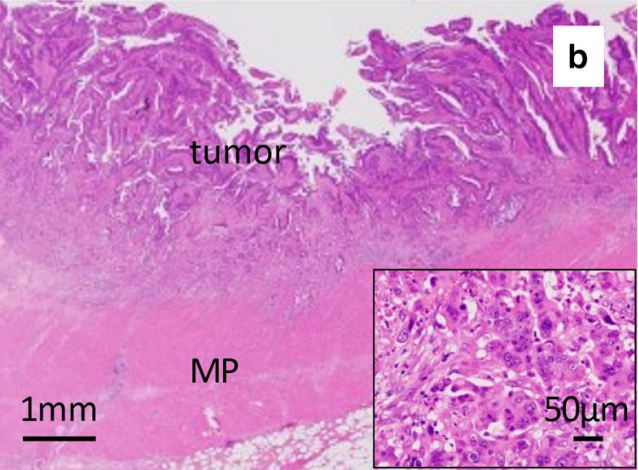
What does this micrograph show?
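Beneath the tumor lies a broad band of pink smooth muscle, with fat at the bottom edge. In the enlarged inset, the cells have large nuclei with visible nucleoli and form irregular groups rather than neat glands.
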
